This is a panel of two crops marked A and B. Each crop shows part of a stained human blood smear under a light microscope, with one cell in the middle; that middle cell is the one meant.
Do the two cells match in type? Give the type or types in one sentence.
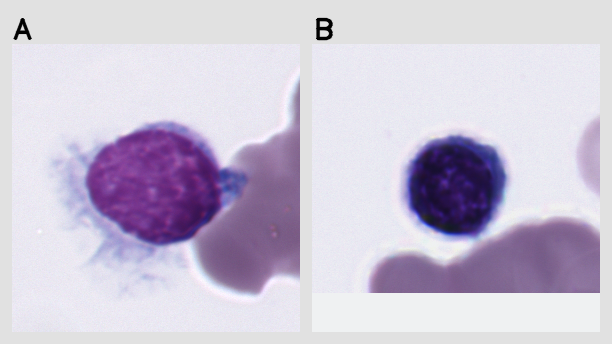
No, crop A is where a hairy cell is shown, and crop B is where a plasma cell is shown.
